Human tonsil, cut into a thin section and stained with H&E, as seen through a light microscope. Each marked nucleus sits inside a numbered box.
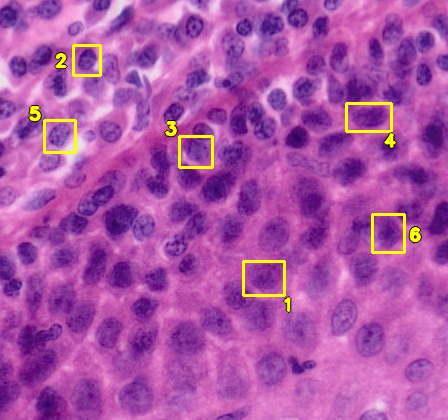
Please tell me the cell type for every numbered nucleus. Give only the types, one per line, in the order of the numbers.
squamous epithelial cell
plasma cell
squamous epithelial cell
squamous epithelial cell
plasma cell
squamous epithelial cell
